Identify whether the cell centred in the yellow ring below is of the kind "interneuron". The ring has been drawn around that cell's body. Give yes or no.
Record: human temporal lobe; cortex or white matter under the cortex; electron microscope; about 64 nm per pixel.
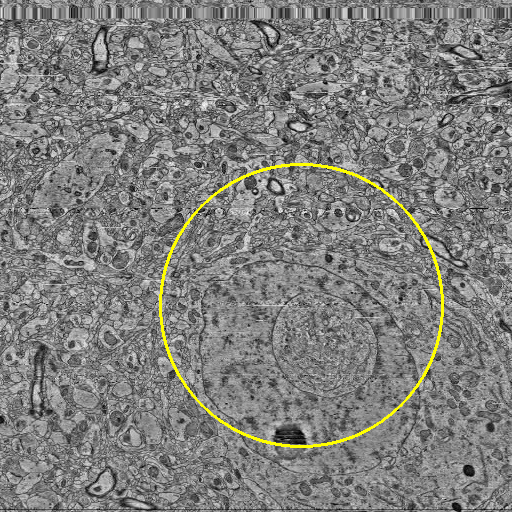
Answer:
yes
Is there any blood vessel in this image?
No, a blood vessel is absent from this picture.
